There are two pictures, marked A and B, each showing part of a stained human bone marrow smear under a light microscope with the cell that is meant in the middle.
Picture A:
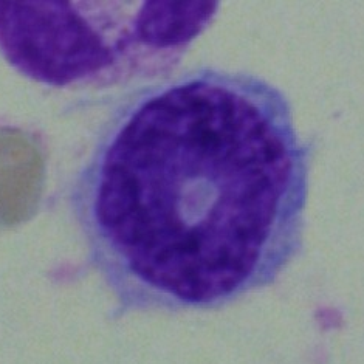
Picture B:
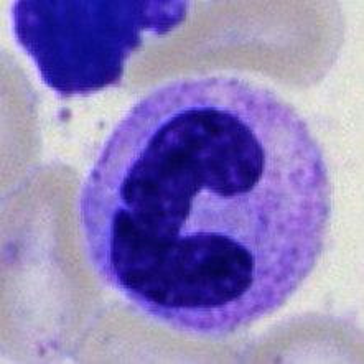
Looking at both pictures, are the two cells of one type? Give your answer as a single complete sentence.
No, they differ: the cell is a monocyte in picture A and a band neutrophil in picture B.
